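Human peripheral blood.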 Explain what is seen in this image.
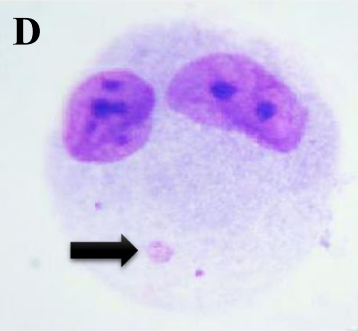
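A binucleated lymphocyte with two oval purple nuclei lying side by side in the upper half of a broad pale lilac cytoplasm. Each nucleus shows darker clumped chromatin spots within a more evenly stained nucleoplasm. In the lower cytoplasm lies a small round pale pink body, much smaller than the main nuclei and separate from them. The cytoplasm is finely granular and the cell outline is round.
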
